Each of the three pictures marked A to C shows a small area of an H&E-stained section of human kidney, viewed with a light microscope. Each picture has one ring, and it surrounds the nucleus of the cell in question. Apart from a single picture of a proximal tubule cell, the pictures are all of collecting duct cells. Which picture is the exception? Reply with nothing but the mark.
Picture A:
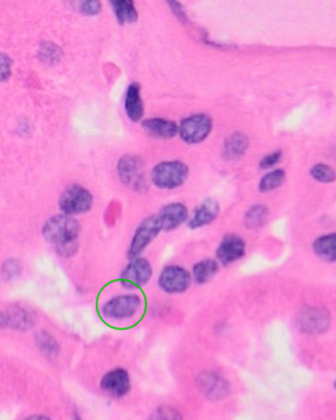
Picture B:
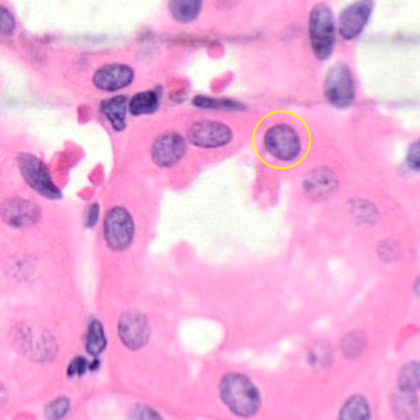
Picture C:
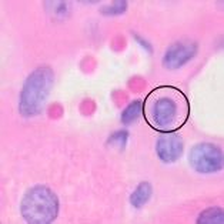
B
